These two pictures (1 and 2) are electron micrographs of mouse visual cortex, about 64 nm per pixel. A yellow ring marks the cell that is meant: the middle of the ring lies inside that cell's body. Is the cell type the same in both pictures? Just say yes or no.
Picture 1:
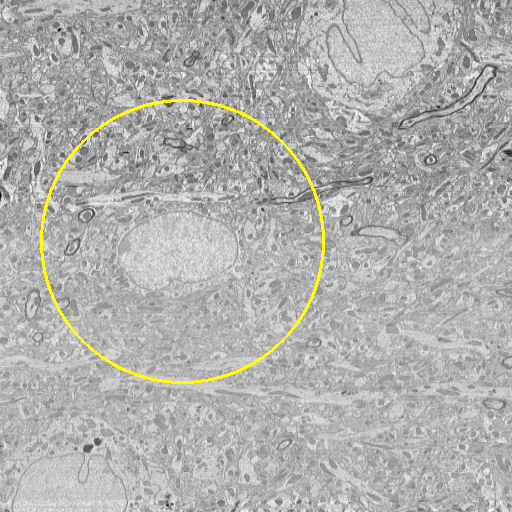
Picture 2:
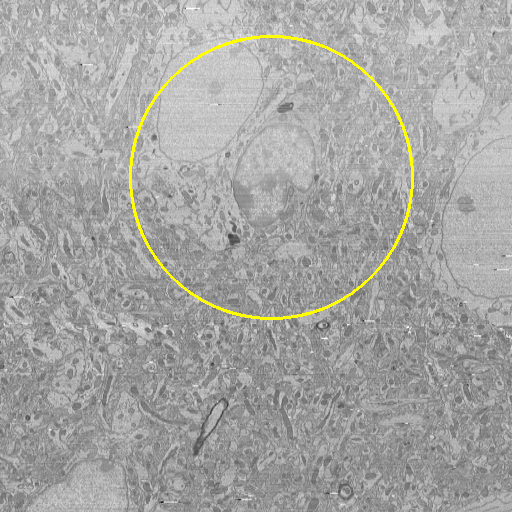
no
